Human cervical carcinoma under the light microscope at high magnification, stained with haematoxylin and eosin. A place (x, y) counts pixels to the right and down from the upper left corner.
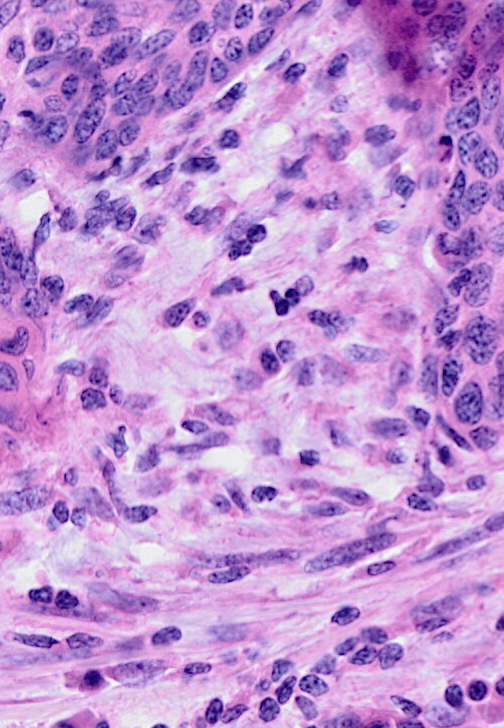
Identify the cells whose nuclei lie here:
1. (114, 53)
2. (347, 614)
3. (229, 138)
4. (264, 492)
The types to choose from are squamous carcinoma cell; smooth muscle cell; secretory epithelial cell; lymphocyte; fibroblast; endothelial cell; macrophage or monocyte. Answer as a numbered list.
1. squamous carcinoma cell
2. lymphocyte
3. lymphocyte
4. lymphocyte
